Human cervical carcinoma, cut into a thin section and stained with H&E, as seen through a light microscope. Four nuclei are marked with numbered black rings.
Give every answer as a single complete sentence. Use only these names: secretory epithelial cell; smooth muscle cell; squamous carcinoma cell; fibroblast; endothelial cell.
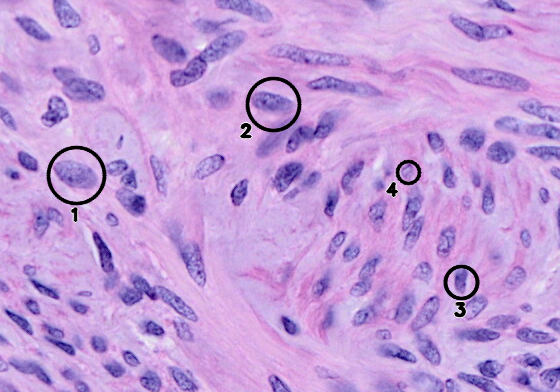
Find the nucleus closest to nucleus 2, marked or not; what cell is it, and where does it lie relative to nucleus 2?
The closest nucleus belongs to a fibroblast and sits below nucleus 2.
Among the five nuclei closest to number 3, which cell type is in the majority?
Around number 3, most of the five nearest nuclei are those of smooth muscle cells.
